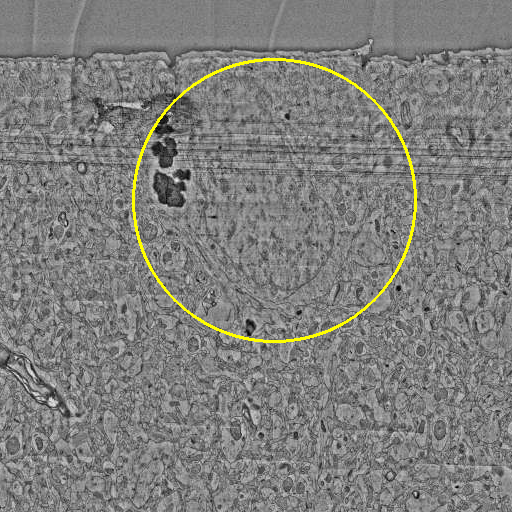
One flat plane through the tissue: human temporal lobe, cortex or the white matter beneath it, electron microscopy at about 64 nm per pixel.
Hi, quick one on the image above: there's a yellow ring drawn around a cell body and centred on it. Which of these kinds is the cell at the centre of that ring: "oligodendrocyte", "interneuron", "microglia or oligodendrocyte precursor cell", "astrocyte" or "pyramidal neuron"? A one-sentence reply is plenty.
The cell at the centre of the ring is an interneuron.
